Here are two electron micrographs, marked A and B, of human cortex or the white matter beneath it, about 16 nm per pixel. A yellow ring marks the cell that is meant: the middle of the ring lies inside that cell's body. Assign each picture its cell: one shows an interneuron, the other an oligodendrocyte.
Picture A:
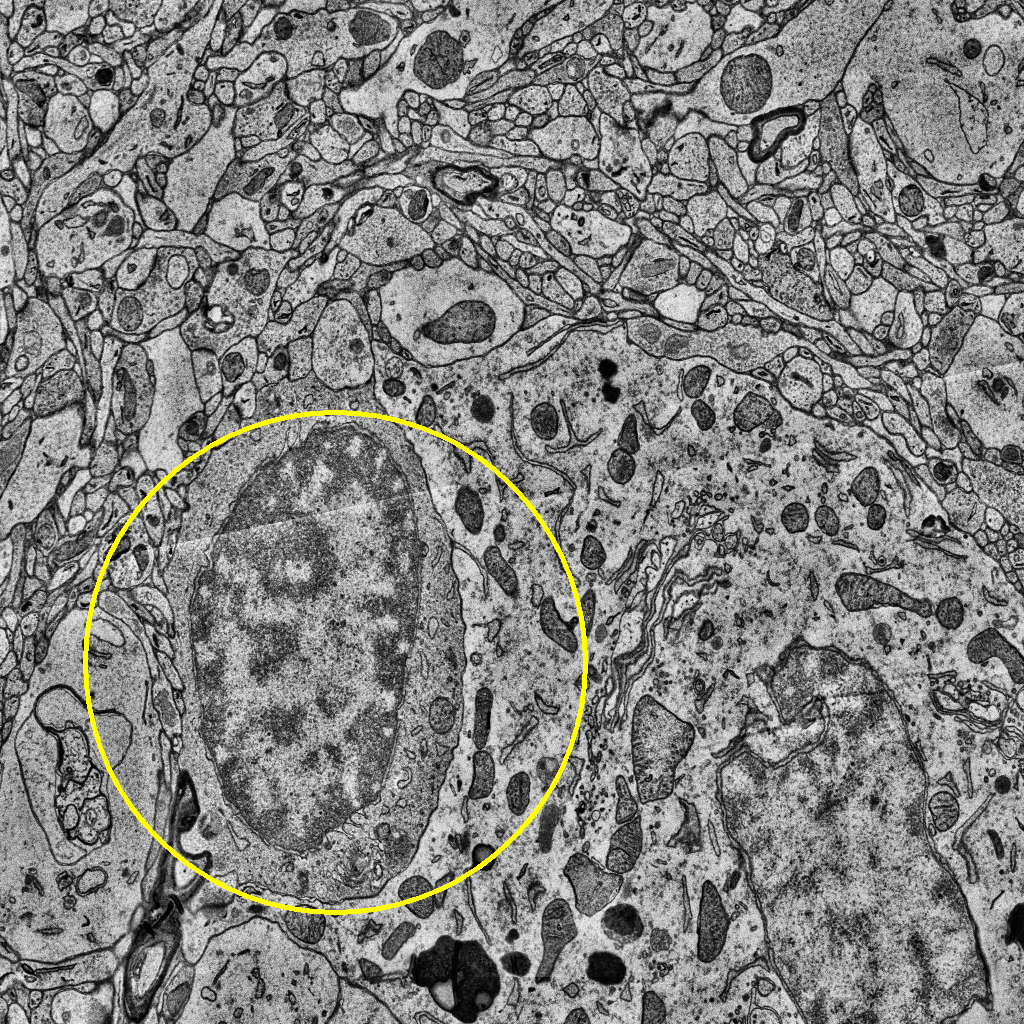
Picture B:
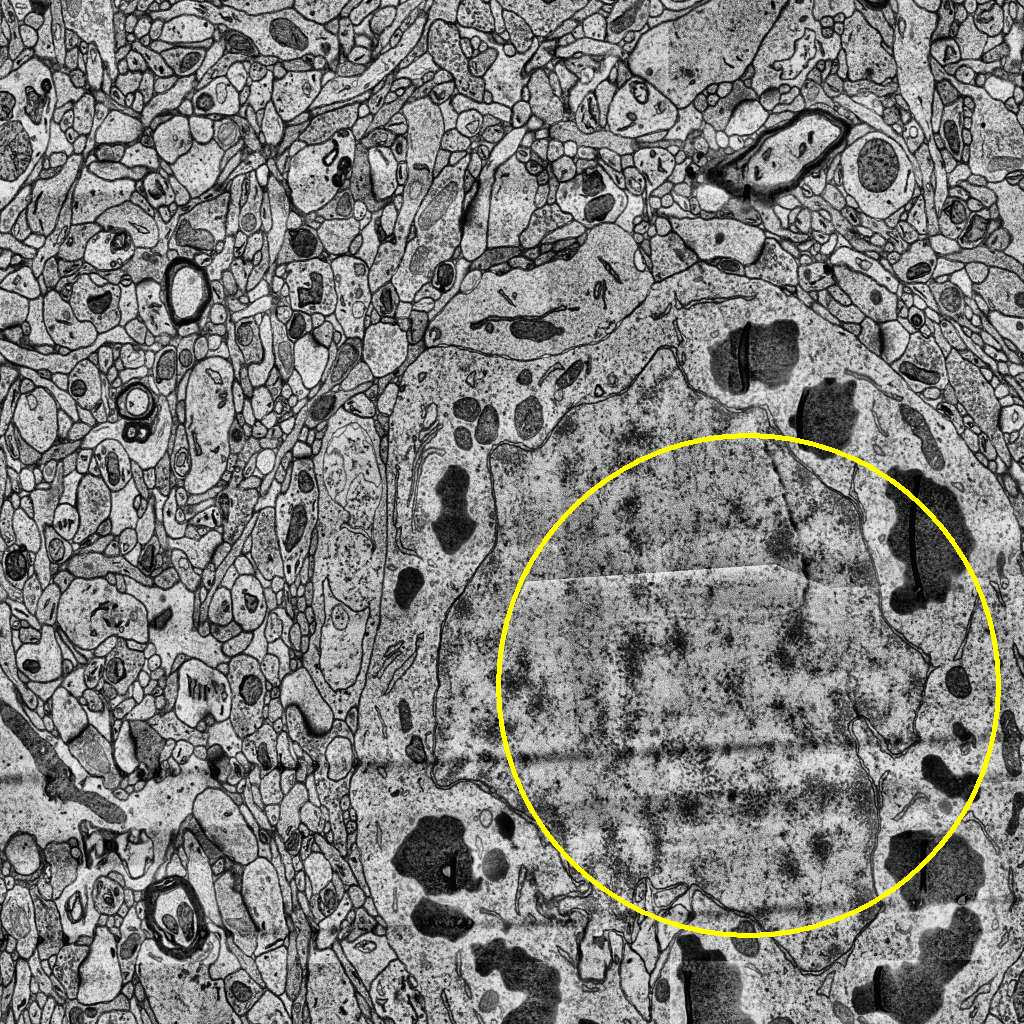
It is picture A that shows an oligodendrocyte, and picture B that shows an interneuron.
